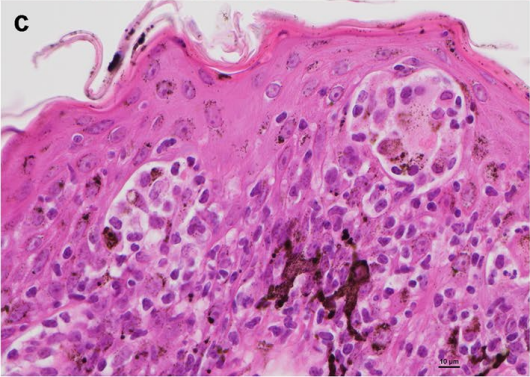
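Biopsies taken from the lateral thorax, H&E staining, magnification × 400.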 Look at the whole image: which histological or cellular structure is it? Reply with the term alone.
Pautrier microabscesses.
